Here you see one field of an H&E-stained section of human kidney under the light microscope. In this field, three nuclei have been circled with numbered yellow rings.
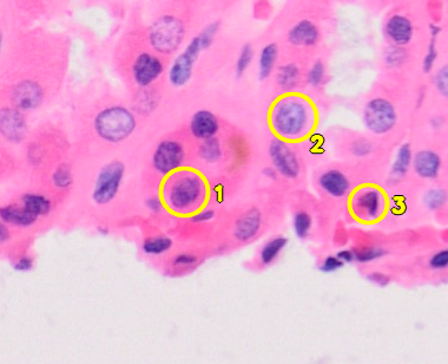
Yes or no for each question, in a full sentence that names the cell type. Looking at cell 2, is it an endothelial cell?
No, cell 2 is to be classed as a loop of Henle or distal tubule cell, not an endothelial cell.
